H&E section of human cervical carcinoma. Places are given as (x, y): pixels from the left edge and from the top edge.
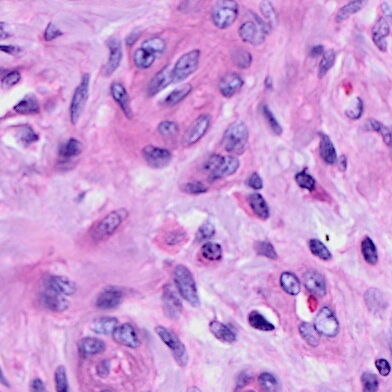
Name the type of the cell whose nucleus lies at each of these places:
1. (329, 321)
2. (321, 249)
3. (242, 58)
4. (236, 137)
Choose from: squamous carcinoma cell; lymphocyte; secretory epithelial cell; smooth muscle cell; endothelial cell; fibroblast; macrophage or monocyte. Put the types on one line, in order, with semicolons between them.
endothelial cell; lymphocyte; smooth muscle cell; endothelial cell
